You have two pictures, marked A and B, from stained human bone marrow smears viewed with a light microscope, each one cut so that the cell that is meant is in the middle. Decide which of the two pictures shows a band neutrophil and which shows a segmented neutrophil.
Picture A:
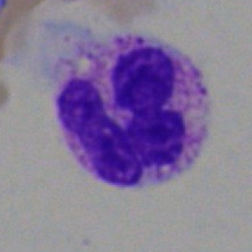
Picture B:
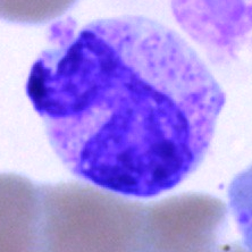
A: segmented neutrophil
B: band neutrophil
